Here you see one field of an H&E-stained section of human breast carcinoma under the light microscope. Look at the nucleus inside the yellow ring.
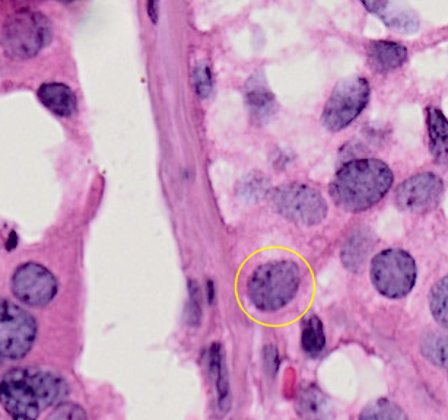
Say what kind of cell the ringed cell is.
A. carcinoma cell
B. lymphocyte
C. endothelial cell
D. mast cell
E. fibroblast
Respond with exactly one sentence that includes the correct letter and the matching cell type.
Option A is correct here; the ringed cell is a carcinoma cell.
